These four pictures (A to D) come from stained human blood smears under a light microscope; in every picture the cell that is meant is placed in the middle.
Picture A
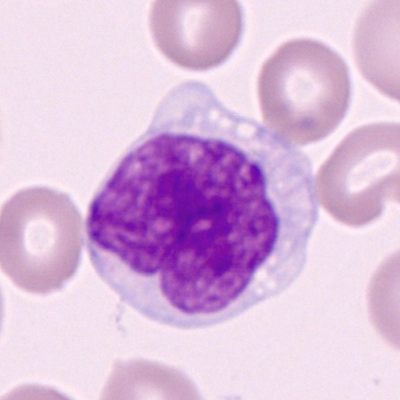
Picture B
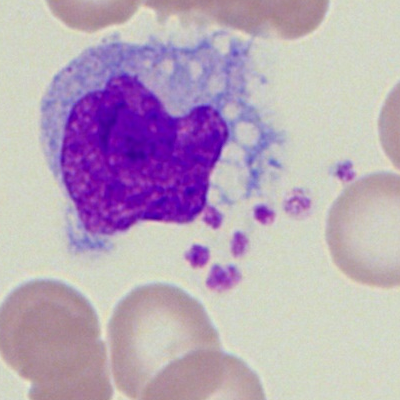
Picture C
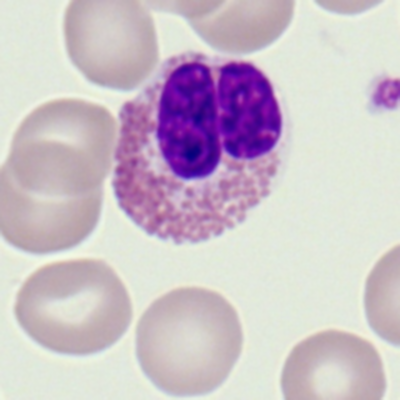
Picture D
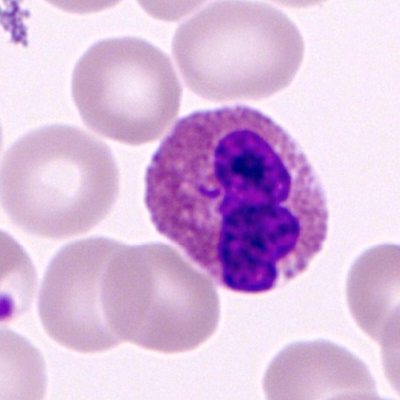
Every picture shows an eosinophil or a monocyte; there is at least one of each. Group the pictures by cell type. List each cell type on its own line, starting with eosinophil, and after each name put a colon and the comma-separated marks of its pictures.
eosinophil: C, D
monocyte: A, B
